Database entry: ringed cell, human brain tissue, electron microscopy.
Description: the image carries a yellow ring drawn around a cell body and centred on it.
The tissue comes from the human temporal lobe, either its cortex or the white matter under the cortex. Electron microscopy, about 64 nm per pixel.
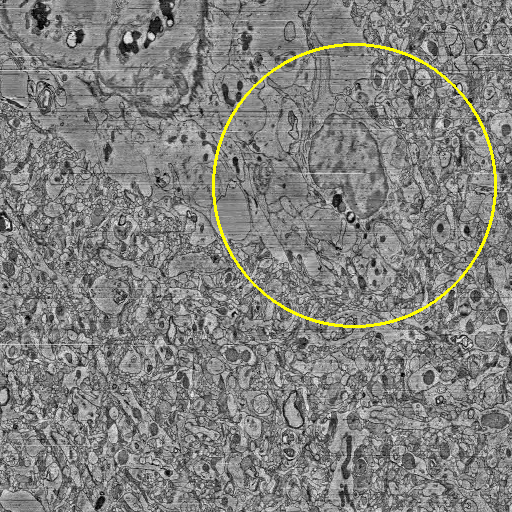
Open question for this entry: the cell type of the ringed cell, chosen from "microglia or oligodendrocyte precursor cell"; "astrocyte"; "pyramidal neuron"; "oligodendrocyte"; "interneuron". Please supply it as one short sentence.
The ringed cell is a microglial cell or oligodendrocyte precursor cell.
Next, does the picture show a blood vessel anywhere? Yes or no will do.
Yes, there is one.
